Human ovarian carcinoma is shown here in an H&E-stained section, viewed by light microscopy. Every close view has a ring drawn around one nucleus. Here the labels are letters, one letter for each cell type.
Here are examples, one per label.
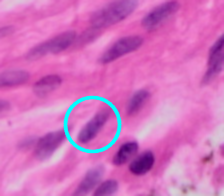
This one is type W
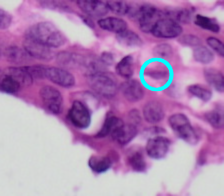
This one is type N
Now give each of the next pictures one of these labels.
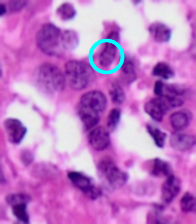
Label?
type N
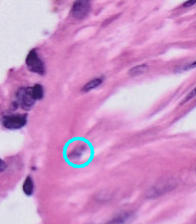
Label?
type W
